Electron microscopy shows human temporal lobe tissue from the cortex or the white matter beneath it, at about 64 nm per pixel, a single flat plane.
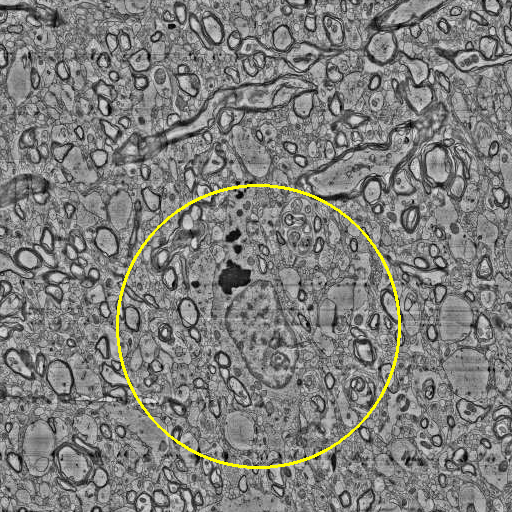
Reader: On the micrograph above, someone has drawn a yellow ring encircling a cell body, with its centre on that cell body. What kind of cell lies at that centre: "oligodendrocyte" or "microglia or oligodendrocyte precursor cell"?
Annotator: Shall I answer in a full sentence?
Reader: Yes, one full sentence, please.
Here an oligodendrocyte sits at the centre of the yellow ring drawn on the micrograph.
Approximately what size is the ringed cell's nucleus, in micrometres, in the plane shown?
The nucleus is approximately 7 micrometers long by 4 micrometers wide in this plane.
